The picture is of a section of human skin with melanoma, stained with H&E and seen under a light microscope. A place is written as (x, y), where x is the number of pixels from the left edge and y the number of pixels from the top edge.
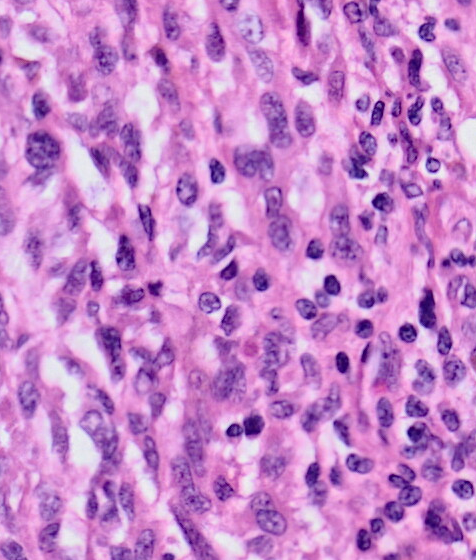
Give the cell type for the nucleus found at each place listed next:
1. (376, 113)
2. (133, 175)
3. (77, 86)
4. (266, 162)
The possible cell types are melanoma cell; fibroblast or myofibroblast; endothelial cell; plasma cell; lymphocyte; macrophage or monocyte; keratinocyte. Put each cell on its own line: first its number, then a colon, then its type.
1: lymphocyte
2: melanoma cell
3: melanoma cell
4: melanoma cell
